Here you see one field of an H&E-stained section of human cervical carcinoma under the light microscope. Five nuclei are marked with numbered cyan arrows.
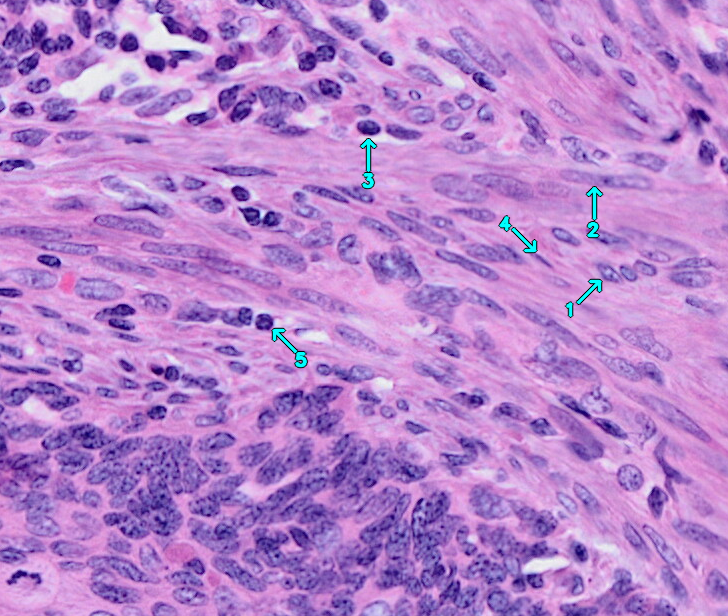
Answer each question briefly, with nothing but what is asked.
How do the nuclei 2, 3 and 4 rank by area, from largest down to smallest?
2, 3, 4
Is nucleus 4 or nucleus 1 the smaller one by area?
4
